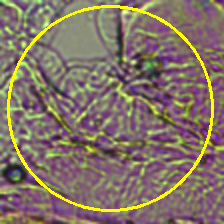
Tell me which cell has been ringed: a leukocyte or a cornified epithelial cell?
It is a cornified epithelial cell.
